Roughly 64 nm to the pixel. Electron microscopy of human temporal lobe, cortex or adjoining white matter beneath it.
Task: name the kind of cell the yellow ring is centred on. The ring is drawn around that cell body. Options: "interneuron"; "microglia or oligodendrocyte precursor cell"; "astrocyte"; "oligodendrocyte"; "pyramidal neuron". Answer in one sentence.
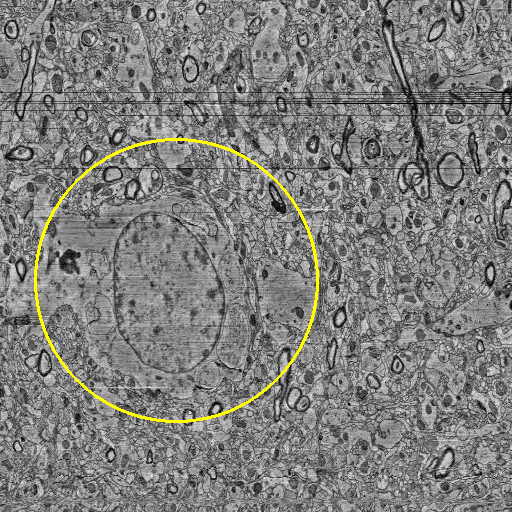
This cell body belongs to an astrocyte.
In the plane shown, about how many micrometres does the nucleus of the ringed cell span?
In this plane the nucleus is roughly 11 by 7 micrometres, clearly longer than it is wide.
